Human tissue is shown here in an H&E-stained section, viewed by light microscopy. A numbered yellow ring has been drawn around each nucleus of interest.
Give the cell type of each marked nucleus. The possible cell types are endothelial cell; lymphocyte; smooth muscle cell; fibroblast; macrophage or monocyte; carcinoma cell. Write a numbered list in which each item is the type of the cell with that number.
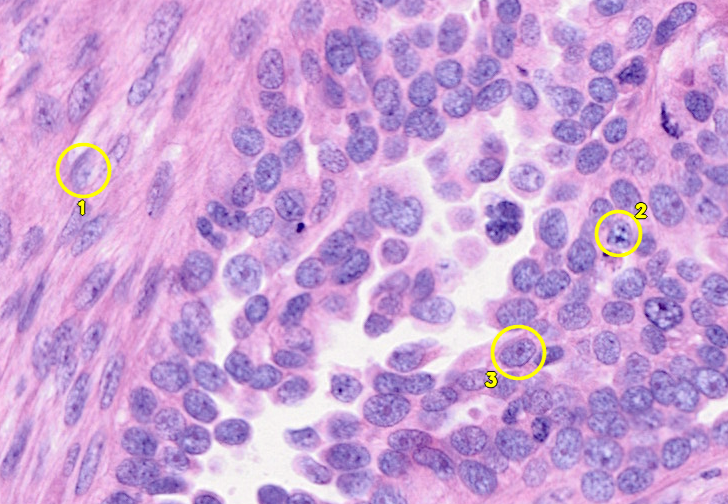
1. fibroblast
2. macrophage or monocyte
3. carcinoma cell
